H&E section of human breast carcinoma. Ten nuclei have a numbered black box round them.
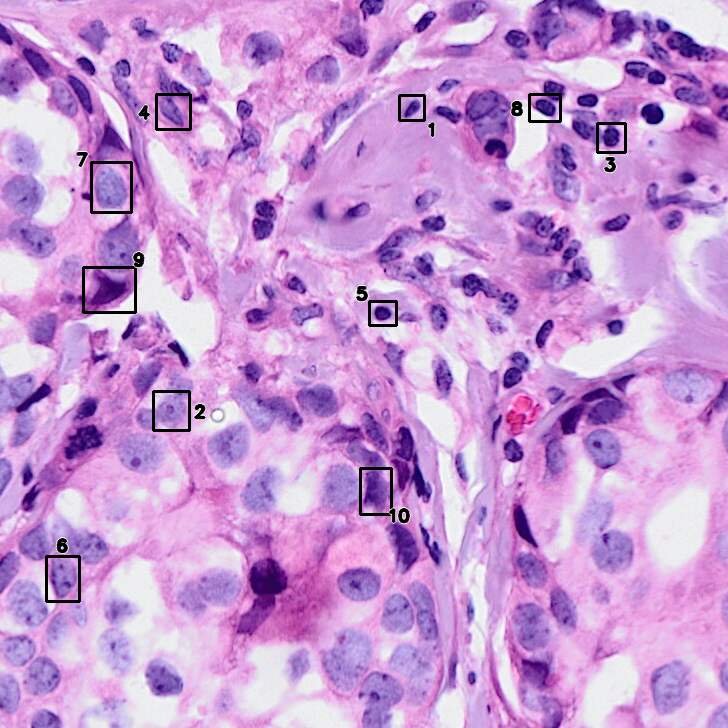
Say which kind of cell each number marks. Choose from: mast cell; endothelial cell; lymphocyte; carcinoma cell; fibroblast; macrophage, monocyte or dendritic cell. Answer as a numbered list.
1. lymphocyte
2. carcinoma cell
3. lymphocyte
4. endothelial cell
5. lymphocyte
6. carcinoma cell
7. carcinoma cell
8. lymphocyte
9. carcinoma cell
10. carcinoma cell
